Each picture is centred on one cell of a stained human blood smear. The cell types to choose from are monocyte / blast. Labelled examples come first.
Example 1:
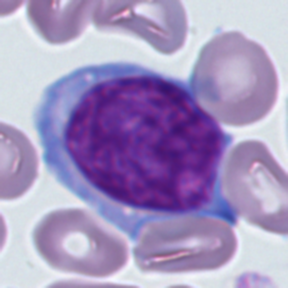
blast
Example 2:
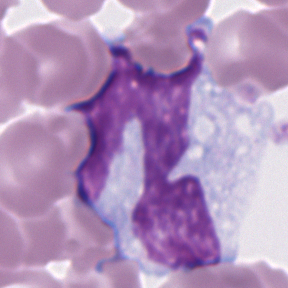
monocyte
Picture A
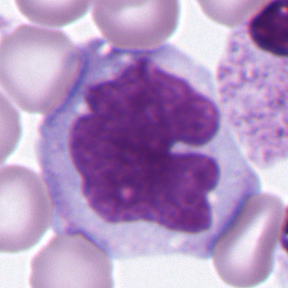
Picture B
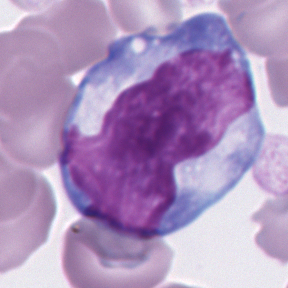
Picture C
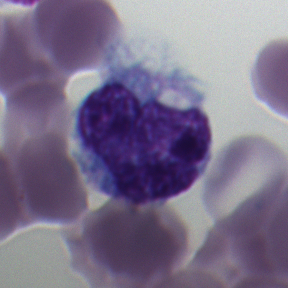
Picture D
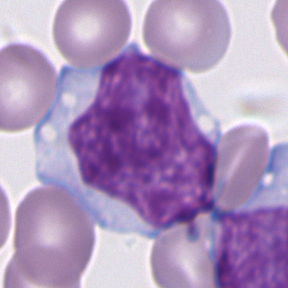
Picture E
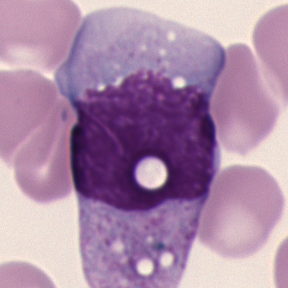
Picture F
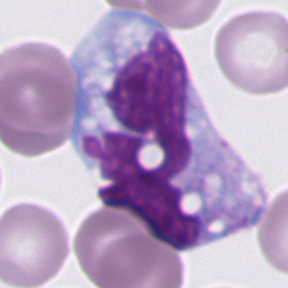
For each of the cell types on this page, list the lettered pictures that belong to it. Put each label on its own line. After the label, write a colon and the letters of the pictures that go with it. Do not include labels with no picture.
monocyte: A, B, C, E, F
blast: D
